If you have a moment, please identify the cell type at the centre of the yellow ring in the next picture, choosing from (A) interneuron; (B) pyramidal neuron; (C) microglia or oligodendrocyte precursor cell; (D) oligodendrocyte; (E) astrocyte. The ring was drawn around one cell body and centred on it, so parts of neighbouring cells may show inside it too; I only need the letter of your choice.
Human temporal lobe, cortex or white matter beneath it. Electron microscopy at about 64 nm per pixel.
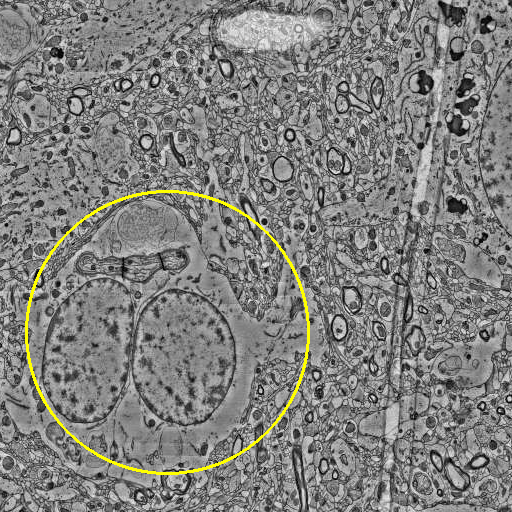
E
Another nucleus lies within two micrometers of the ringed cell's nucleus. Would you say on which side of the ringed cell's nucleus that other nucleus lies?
The other nucleus is found to the upper left of it.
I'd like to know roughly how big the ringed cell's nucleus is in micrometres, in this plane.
The nucleus has a long axis of about 9 micrometres and a short axis of about 7 micrometres in this plane.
